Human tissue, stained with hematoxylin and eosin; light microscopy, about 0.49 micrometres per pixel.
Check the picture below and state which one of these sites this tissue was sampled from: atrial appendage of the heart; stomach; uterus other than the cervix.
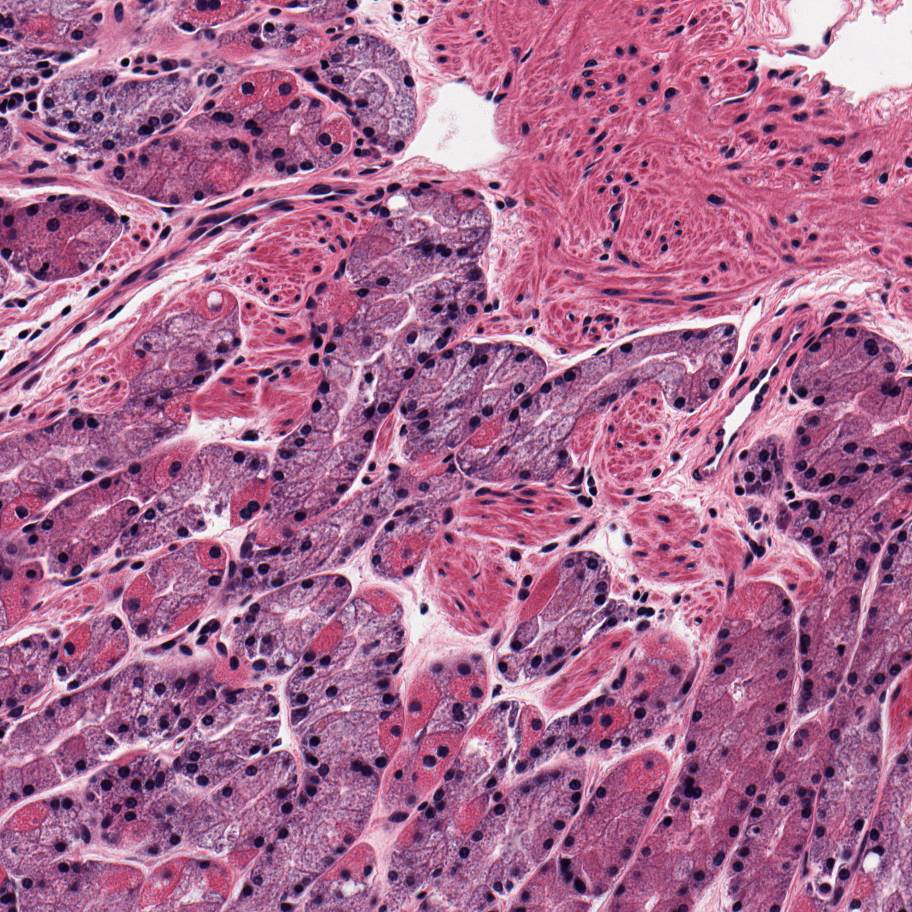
stomach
